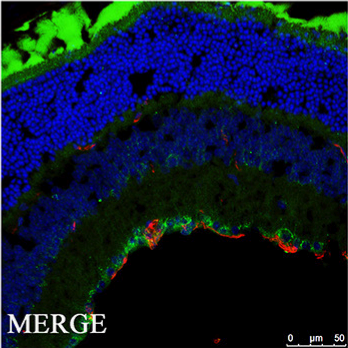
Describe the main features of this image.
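Green is strongest in that innermost row, outlining the cells at their borders and filling their cytoplasm; it is paler through the inner nuclear layer. Along the very inner surface run short, irregular red streaks and patches, lying flat against the edge rather than reaching deep into the tissue. A bright green mass sits above the outer edge of the section.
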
